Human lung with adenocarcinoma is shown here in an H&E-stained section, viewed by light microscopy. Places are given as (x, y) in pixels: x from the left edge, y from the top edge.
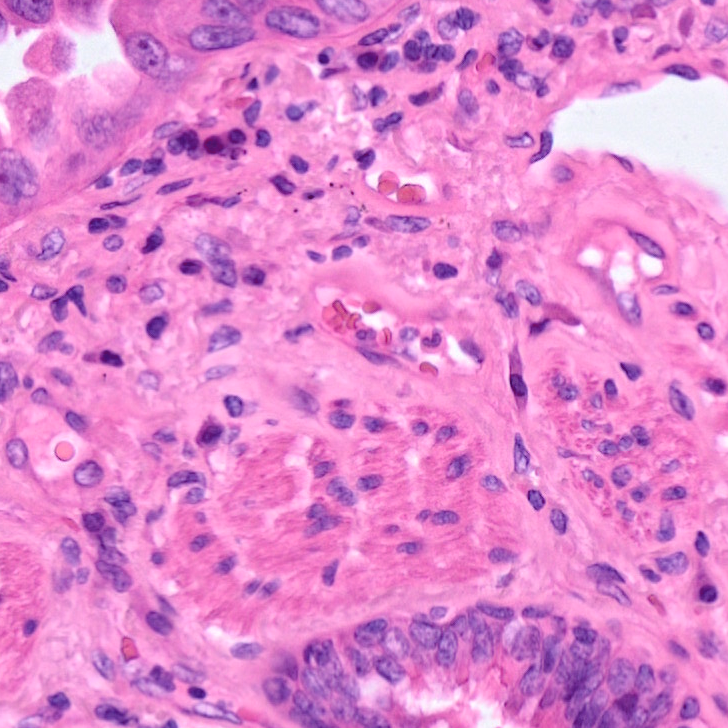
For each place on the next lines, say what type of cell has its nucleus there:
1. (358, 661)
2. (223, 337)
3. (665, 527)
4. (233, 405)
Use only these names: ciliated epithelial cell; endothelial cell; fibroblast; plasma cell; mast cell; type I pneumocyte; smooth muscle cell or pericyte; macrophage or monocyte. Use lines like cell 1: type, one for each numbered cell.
cell 1: ciliated epithelial cell
cell 2: fibroblast
cell 3: smooth muscle cell or pericyte
cell 4: mast cell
